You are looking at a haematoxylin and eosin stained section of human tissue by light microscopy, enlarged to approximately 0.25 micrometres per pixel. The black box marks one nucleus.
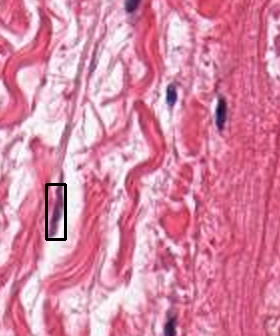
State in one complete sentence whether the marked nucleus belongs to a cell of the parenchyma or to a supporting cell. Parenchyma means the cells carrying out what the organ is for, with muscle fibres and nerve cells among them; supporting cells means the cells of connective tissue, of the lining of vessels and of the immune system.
The marked nucleus is part of a supporting cell.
